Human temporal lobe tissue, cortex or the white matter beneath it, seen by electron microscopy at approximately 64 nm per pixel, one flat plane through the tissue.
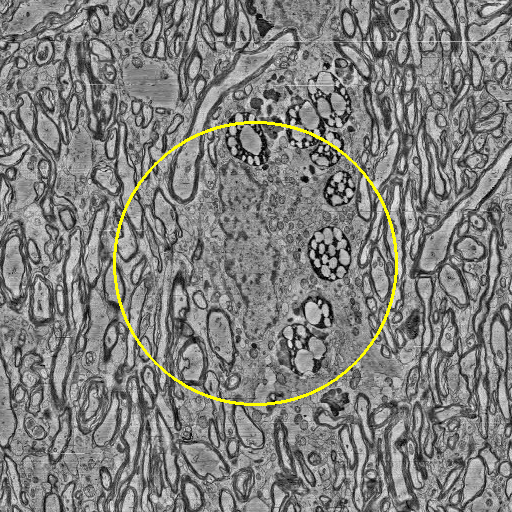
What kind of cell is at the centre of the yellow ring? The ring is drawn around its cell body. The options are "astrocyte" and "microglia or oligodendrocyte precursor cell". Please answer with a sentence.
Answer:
The yellow ring marks the cell body of an astrocyte.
